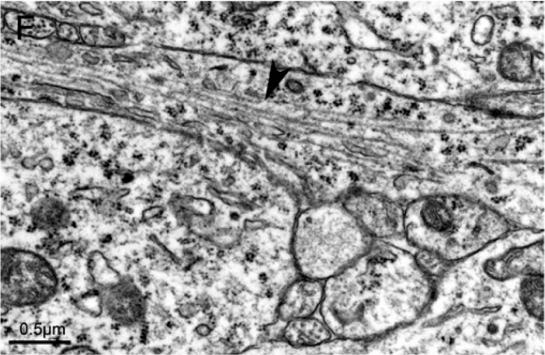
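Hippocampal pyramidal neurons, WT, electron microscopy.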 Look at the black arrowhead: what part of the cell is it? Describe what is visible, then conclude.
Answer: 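Microtubules. The arrowhead points to many thin straight parallel filaments running along a process. The filaments are packed close together in bundles.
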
